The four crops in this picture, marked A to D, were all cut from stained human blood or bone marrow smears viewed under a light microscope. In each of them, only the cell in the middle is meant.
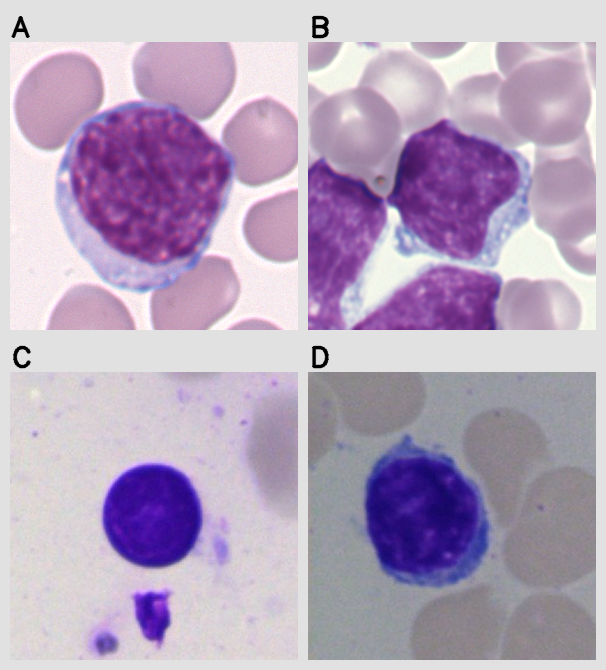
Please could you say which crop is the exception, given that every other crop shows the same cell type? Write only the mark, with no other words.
A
